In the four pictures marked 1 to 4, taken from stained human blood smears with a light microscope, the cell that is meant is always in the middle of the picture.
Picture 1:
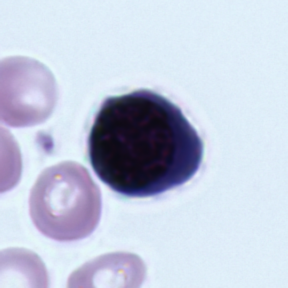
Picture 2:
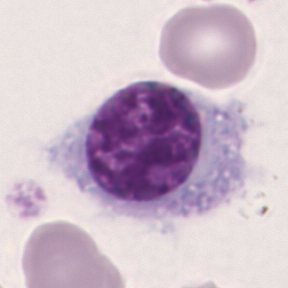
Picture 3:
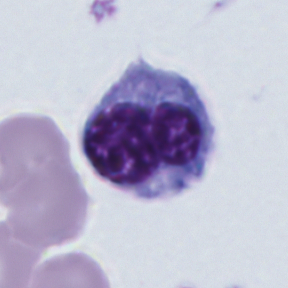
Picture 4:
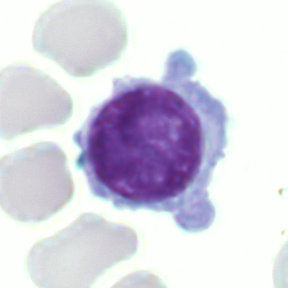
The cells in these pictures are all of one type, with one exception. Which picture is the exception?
1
